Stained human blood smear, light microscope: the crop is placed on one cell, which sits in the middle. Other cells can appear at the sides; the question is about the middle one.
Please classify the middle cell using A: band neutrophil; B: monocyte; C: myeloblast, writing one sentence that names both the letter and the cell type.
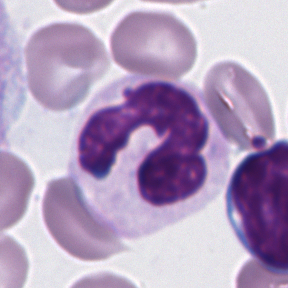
The cell at the centre, correctly named in option A, is a band neutrophil.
